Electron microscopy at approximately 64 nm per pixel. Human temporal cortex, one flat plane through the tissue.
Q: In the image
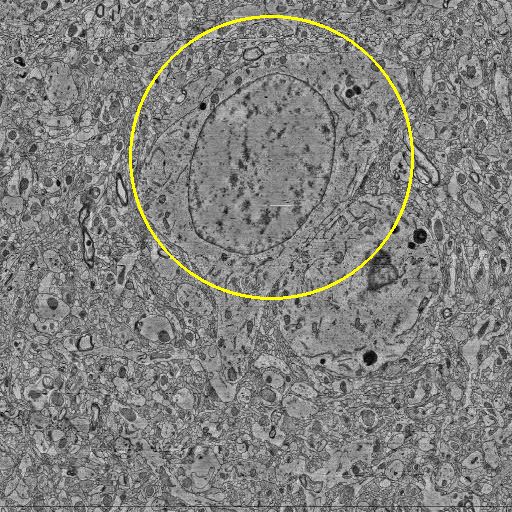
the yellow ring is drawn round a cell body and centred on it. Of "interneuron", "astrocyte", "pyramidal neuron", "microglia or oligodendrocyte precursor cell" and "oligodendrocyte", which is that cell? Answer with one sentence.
The cell centred in the ring is a pyramidal neuron.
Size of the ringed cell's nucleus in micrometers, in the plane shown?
In this plane the nucleus measures roughly 12 by 9 micrometres.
